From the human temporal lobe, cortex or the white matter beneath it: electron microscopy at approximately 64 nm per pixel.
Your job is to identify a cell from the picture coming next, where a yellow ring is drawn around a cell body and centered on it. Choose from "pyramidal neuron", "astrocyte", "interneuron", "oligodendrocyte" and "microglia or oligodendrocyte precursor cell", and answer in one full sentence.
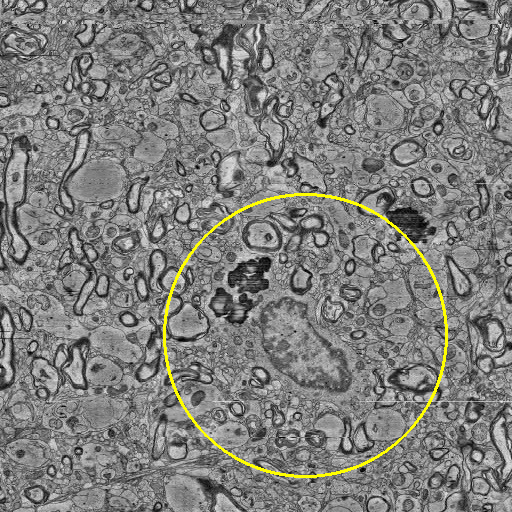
Centered in the yellow ring of the picture is the body of an oligodendrocyte.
